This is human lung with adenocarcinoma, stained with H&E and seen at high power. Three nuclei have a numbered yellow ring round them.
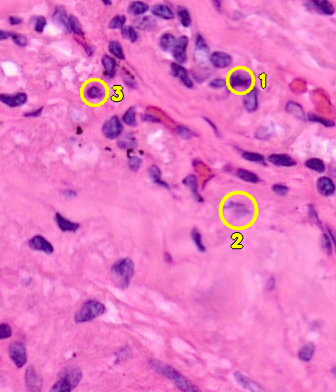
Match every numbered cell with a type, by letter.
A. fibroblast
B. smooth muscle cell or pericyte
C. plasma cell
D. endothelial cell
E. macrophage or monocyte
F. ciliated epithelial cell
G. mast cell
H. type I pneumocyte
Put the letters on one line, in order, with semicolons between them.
C; A; G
